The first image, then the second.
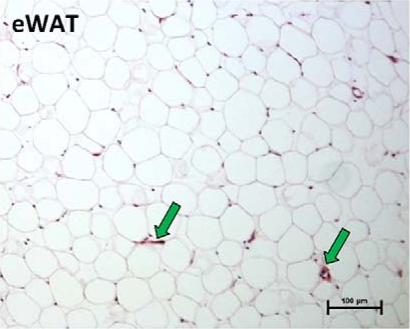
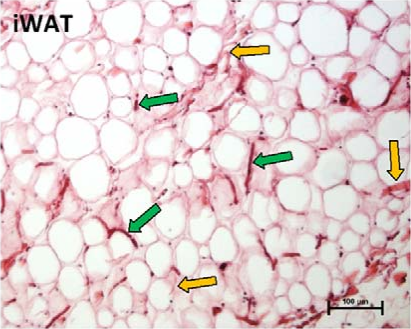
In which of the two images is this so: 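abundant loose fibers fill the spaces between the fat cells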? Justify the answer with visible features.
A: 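The second image. Second image: pink filamentous strands run widely between and around the fat cells. First image: the fat cells are separated only by thin clean pink rims with almost no fibers between them.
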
